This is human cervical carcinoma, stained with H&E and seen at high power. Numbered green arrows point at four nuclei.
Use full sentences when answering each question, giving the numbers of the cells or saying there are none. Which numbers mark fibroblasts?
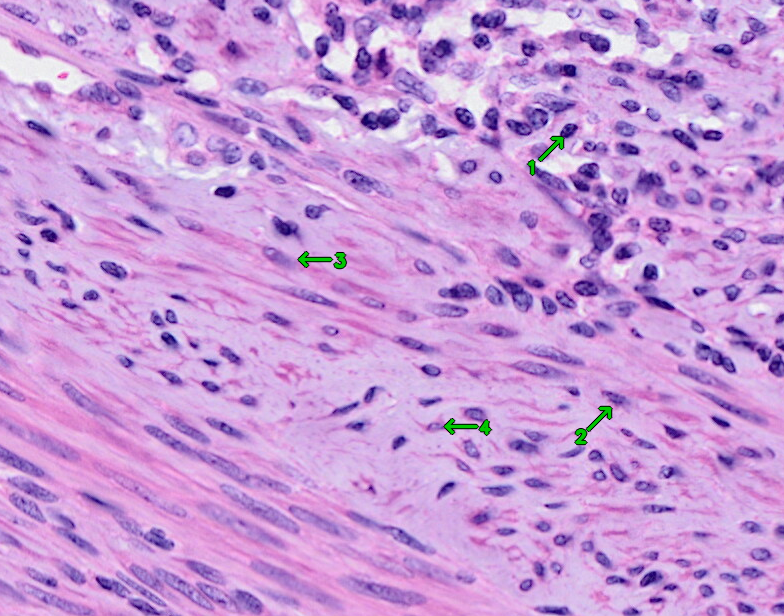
None of the numbered cells are fibroblasts.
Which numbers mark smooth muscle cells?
Cells 2, 3 and 4 are of one type, namely smooth muscle cells.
